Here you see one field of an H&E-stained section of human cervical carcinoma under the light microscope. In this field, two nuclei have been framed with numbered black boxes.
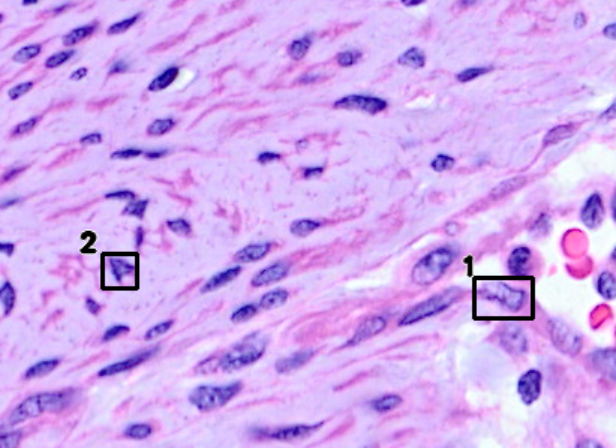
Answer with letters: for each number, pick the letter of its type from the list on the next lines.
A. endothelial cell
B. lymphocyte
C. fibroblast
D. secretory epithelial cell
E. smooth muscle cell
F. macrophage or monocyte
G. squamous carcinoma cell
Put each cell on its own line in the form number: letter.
1: A
2: E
